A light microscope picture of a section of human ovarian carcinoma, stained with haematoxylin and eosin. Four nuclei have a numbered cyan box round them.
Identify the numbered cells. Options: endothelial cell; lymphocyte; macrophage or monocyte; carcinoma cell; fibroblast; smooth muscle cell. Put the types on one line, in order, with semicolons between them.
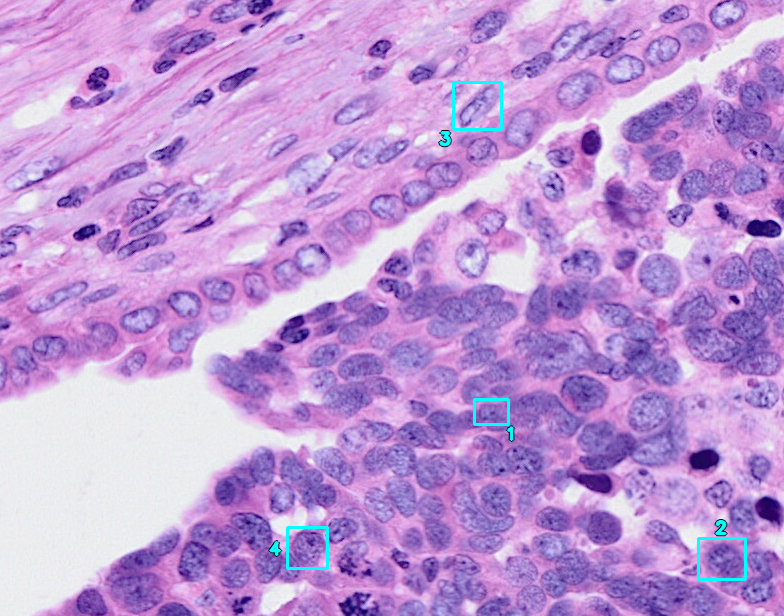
carcinoma cell; carcinoma cell; fibroblast; carcinoma cell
